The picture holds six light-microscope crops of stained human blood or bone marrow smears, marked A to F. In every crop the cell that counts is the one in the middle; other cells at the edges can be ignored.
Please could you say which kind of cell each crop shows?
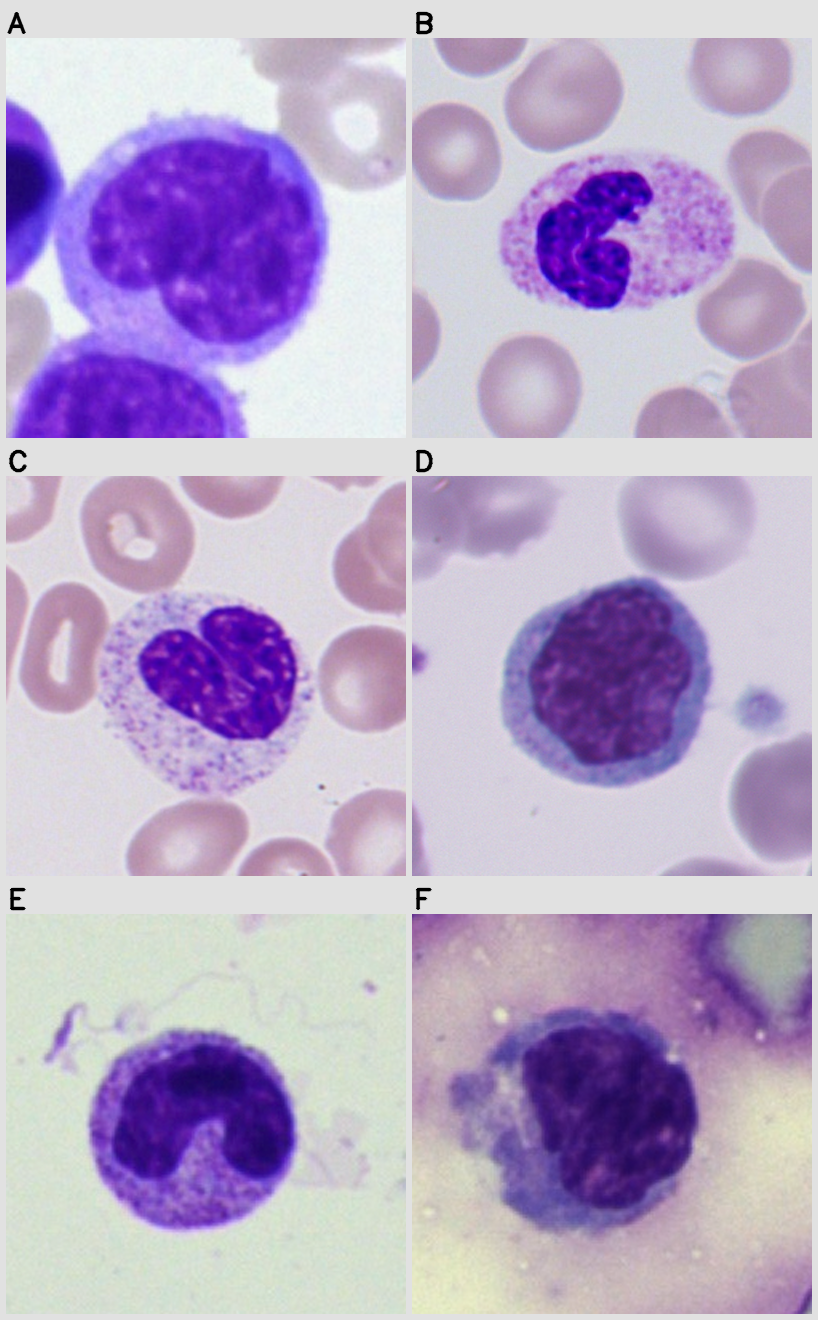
A: monocyte
B: band neutrophil
C: band neutrophil
D: monocyte
E: band neutrophil
F: monocyte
